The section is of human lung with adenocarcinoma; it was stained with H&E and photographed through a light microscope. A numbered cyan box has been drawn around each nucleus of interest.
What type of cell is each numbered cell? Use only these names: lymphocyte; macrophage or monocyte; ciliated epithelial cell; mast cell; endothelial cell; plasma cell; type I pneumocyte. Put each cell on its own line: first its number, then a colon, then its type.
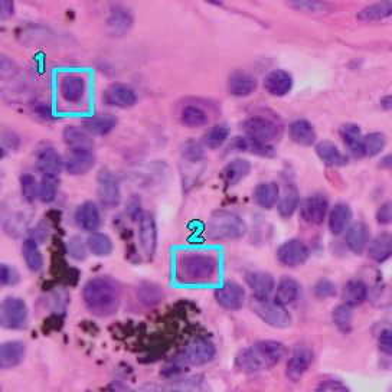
1: lymphocyte
2: plasma cell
